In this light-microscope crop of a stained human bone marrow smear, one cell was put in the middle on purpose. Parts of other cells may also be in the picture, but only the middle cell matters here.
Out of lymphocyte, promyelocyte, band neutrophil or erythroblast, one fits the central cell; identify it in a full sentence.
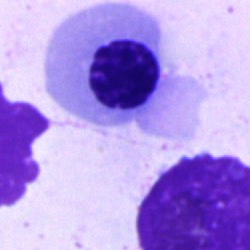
The center cell of this crop is an erythroblast.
